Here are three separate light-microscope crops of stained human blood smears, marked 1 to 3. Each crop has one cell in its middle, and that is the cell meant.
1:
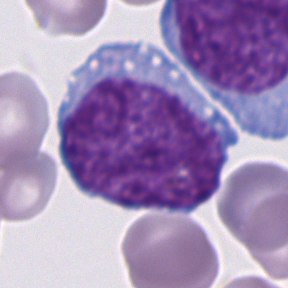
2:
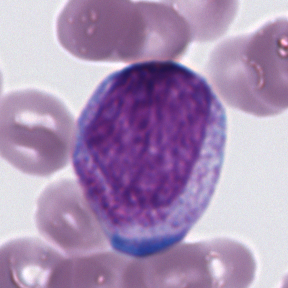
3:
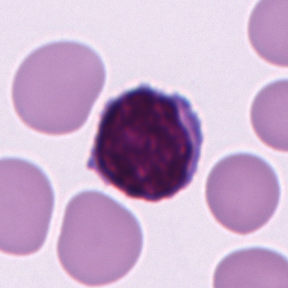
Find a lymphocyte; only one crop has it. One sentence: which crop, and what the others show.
Placed in the middle of crop 3 is a lymphocyte, while crop 1 is a myeloblast and crop 2 is an atypical promyelocyte.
